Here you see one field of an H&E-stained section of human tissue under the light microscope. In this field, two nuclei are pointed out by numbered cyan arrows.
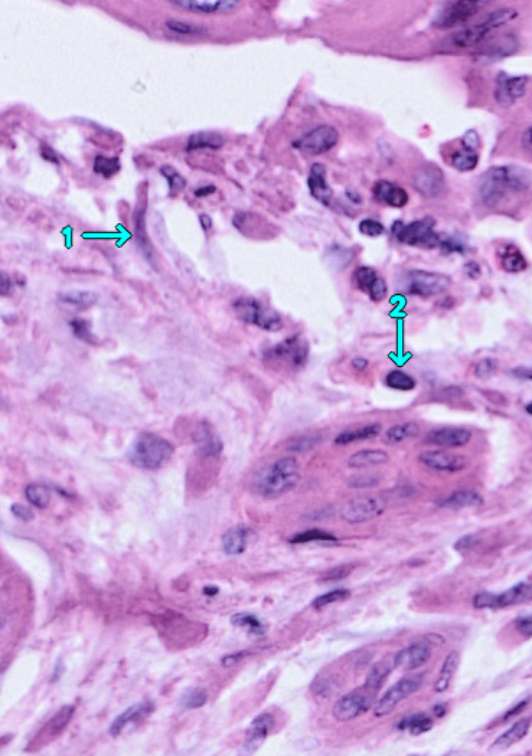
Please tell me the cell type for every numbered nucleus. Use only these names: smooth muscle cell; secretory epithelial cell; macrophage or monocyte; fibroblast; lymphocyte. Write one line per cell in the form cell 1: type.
cell 1: fibroblast
cell 2: lymphocyte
